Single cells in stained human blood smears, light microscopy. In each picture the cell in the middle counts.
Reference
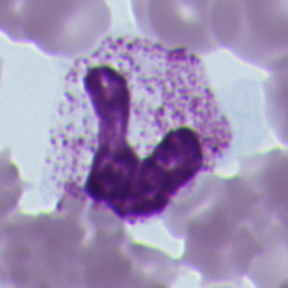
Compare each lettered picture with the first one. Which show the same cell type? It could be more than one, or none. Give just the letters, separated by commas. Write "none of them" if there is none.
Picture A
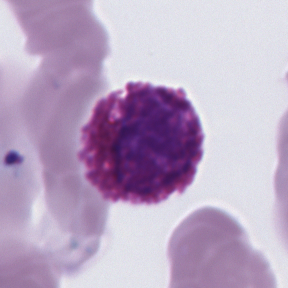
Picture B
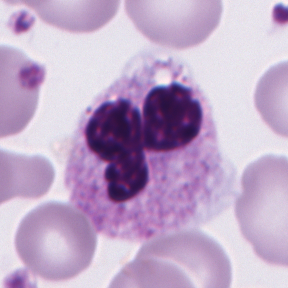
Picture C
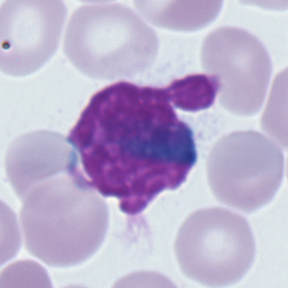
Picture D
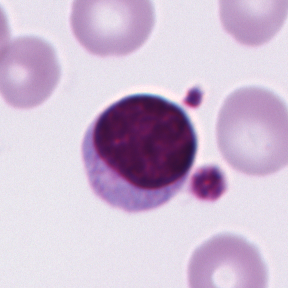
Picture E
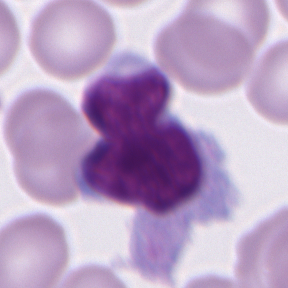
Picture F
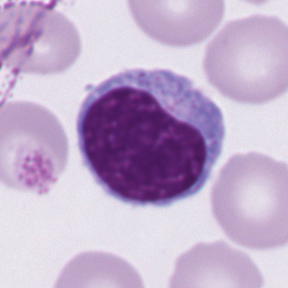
B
